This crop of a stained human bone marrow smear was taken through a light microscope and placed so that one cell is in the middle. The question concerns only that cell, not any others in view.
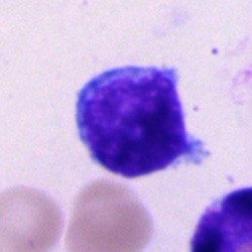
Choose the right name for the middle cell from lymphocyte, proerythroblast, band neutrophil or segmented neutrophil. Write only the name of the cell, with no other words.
lymphocyte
